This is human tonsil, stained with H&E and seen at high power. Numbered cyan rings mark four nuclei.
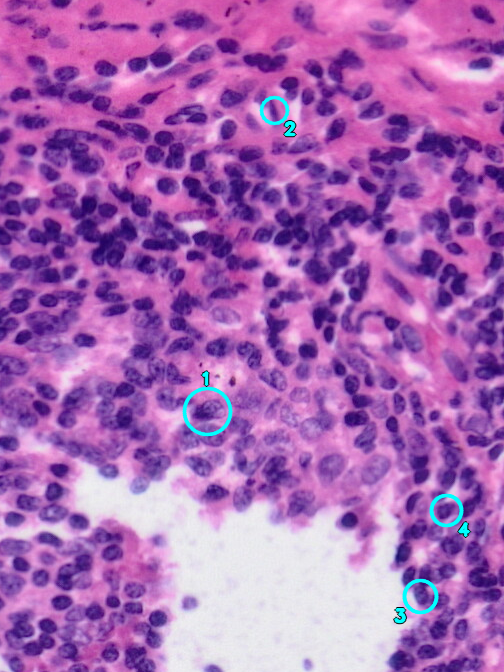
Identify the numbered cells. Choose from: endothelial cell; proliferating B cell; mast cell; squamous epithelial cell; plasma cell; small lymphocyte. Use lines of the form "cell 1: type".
cell 1: proliferating B cell
cell 2: endothelial cell
cell 3: small lymphocyte
cell 4: small lymphocyte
